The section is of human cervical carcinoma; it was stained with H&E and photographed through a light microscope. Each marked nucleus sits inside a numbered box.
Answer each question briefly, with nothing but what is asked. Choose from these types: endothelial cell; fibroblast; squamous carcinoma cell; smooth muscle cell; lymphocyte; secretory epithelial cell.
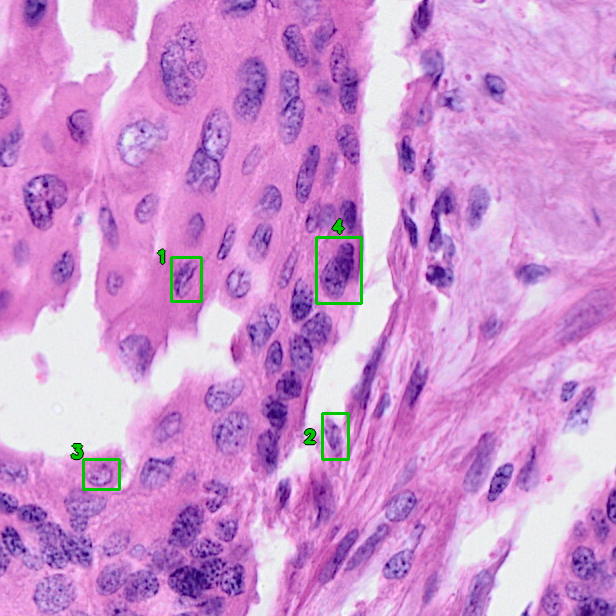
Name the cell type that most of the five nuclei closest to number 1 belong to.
squamous carcinoma cell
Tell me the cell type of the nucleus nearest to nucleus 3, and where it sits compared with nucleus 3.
a squamous carcinoma cell below and to the left of nucleus 3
